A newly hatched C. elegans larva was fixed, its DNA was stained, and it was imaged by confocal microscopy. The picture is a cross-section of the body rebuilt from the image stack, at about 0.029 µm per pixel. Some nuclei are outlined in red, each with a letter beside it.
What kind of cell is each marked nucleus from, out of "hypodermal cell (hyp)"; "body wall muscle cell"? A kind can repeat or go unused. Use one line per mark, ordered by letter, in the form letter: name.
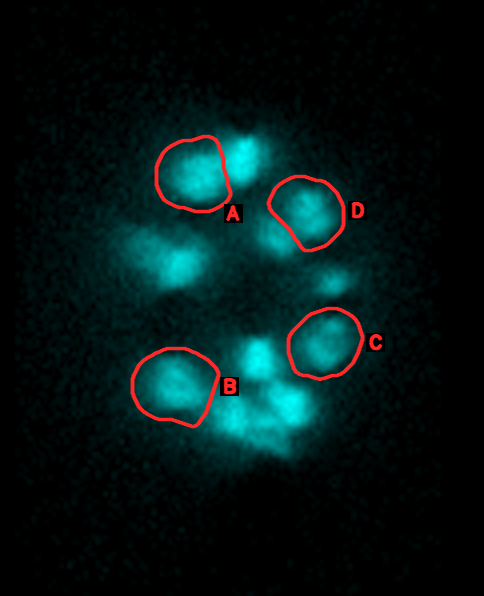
A: hypodermal cell (hyp)
B: body wall muscle cell
C: body wall muscle cell
D: body wall muscle cell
